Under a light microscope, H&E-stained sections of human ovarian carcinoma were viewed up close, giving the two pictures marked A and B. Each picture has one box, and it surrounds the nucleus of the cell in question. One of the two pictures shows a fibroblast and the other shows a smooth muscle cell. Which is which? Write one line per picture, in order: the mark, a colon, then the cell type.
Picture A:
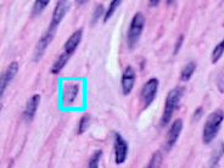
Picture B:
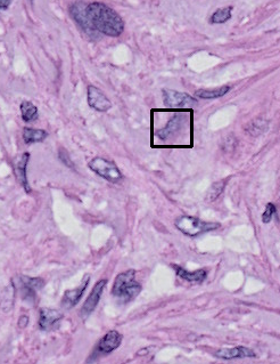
A: smooth muscle cell
B: fibroblast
